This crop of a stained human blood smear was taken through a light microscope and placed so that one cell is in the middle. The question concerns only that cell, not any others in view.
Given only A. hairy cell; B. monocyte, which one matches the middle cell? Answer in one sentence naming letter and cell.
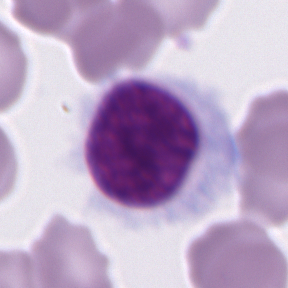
Option A is the correct selection, for the cell at the centre is a hairy cell.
